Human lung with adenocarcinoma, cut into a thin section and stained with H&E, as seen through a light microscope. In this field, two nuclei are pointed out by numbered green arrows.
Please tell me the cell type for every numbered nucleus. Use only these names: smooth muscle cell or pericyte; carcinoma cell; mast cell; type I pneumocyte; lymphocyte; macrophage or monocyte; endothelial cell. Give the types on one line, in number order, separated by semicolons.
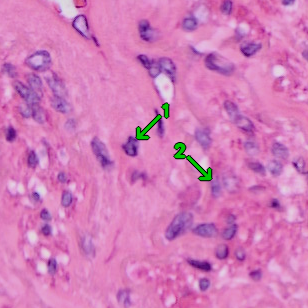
mast cell; smooth muscle cell or pericyte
